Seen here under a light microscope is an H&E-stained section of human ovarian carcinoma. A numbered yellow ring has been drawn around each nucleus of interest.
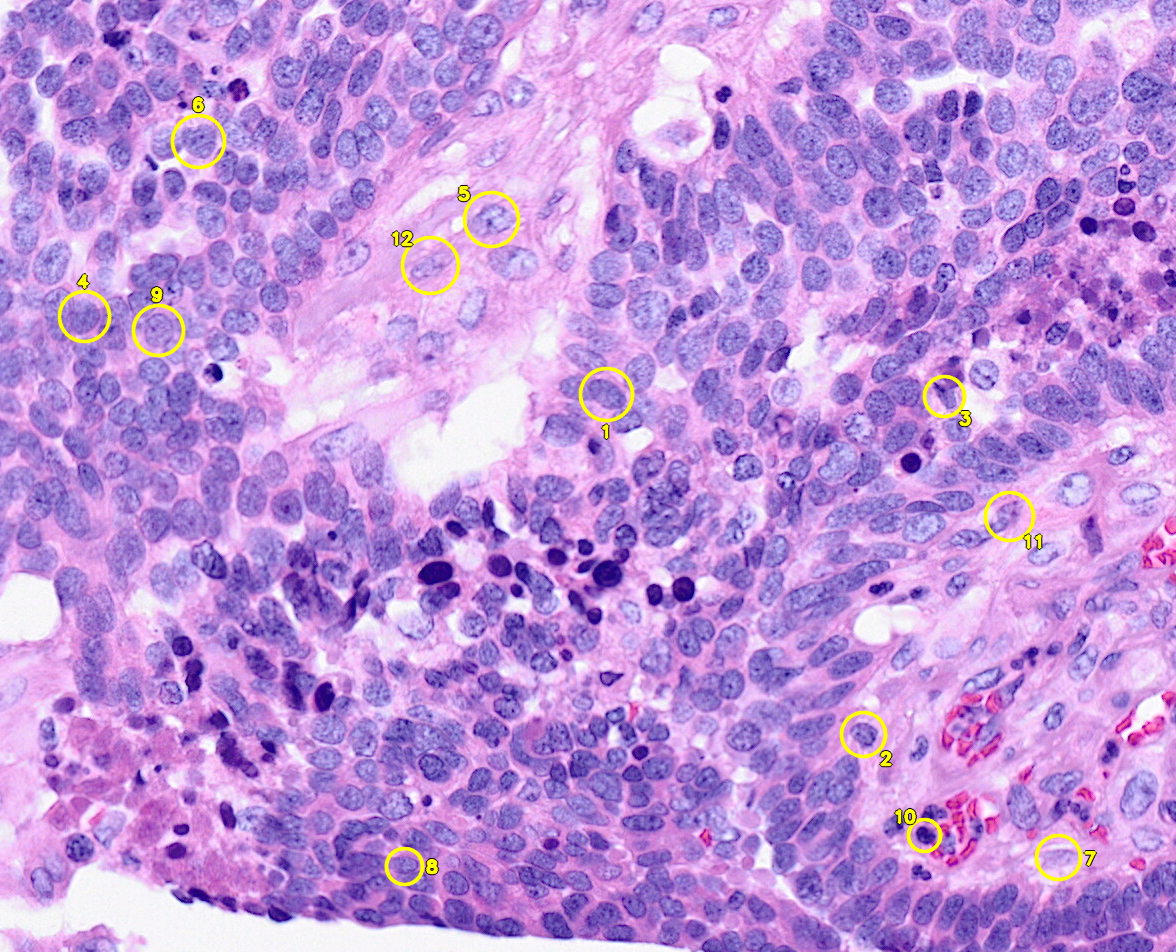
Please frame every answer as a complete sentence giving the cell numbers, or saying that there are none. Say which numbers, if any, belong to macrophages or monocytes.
Cells numbered 2 and 3 belong to the group of macrophages or monocytes.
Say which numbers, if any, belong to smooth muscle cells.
The numbered cells are, without exception, not smooth muscle cells.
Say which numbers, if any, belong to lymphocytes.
Only the cell with the number 10 is a lymphocyte.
